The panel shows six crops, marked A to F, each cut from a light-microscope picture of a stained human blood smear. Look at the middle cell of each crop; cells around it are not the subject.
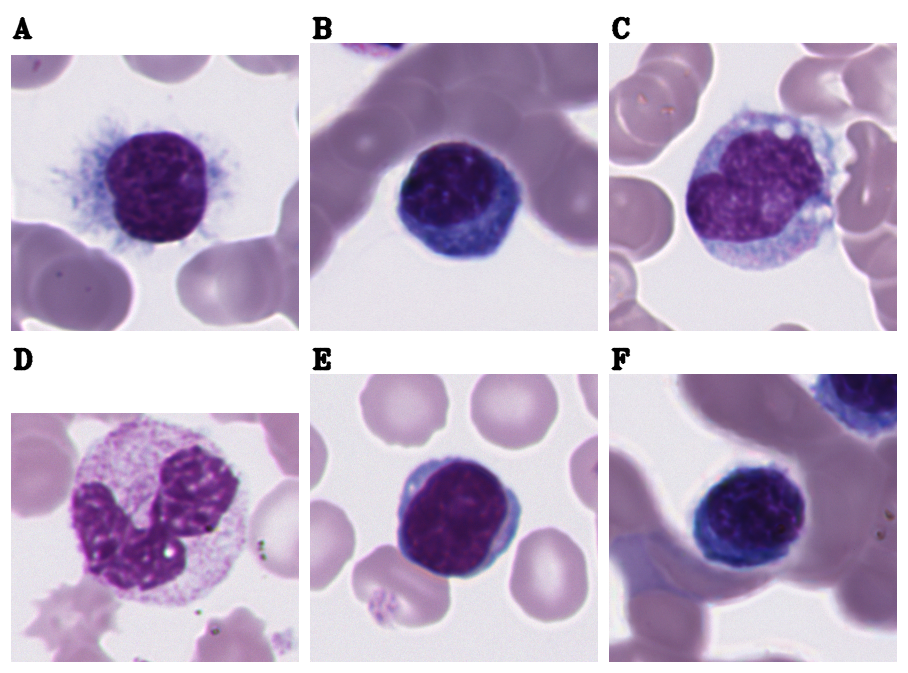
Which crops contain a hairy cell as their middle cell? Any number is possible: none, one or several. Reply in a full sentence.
Crop A contains a hairy cell, whereas the other crops contain none.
